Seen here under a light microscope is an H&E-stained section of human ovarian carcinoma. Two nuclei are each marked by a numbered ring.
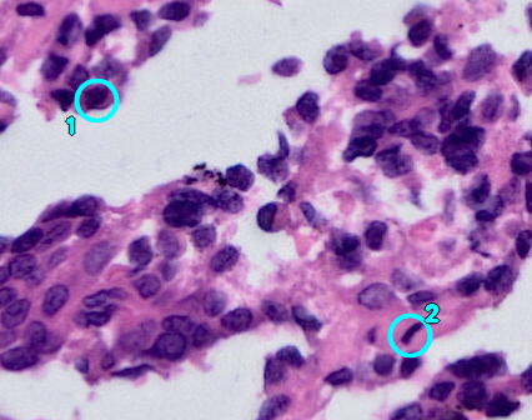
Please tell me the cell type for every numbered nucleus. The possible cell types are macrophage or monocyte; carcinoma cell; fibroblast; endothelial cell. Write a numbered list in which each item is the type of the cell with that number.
1. carcinoma cell
2. endothelial cell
